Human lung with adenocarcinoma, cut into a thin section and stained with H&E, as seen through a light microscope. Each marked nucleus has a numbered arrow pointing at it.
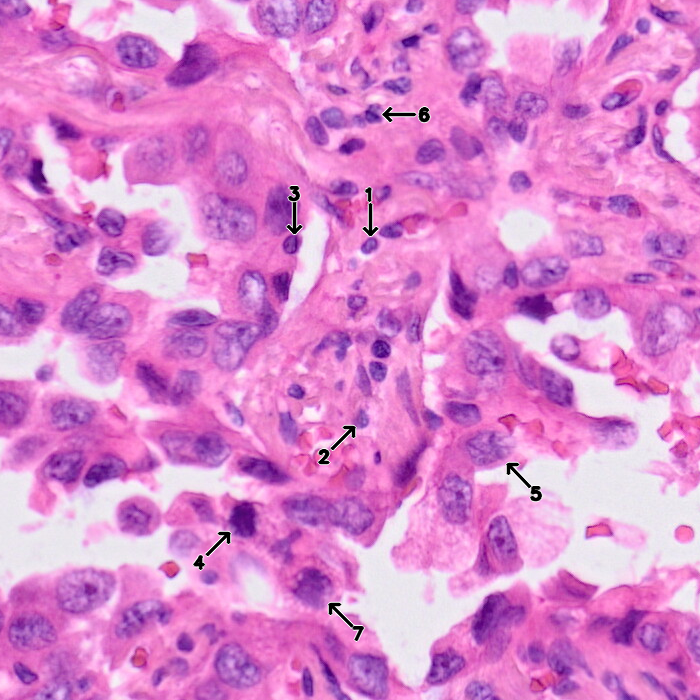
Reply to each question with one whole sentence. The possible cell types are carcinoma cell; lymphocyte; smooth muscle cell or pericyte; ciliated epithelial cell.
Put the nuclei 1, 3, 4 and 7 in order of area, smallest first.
By area, going up from the smallest, they rank 1, 3, 4, 7.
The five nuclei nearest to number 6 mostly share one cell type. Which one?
The majority of the five nuclei closest to number 6 belong to lymphocytes.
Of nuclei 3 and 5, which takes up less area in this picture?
The smaller nucleus is 3, and 5 covers roughly 4 times its area.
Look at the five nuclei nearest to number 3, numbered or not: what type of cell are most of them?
The majority of the five nuclei closest to number 3 belong to carcinoma cells.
